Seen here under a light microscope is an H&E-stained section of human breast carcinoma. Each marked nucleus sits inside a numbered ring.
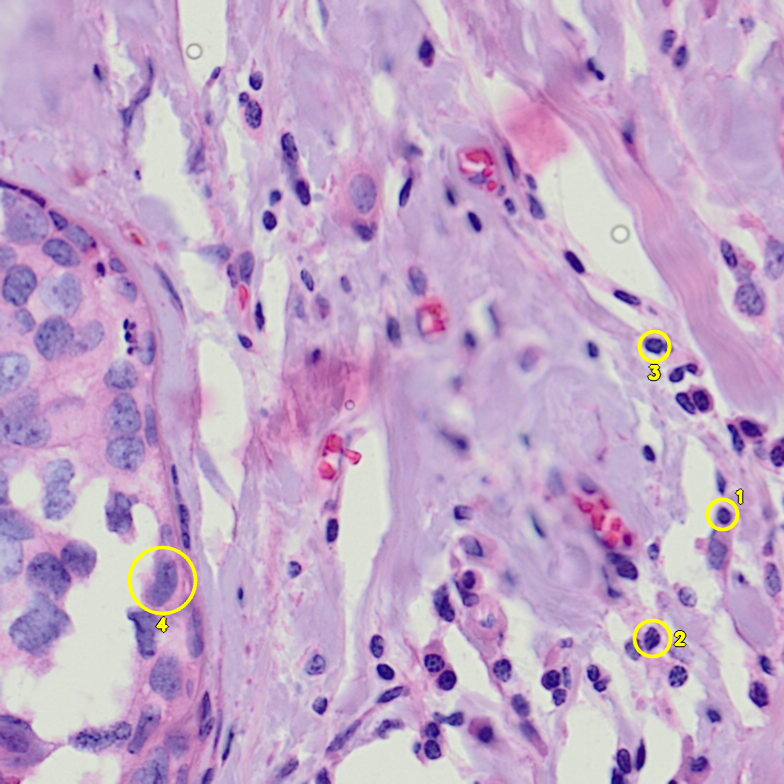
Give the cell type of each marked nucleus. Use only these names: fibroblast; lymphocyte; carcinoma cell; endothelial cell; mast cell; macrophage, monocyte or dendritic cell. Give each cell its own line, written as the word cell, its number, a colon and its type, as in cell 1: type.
cell 1: lymphocyte
cell 2: lymphocyte
cell 3: lymphocyte
cell 4: carcinoma cell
